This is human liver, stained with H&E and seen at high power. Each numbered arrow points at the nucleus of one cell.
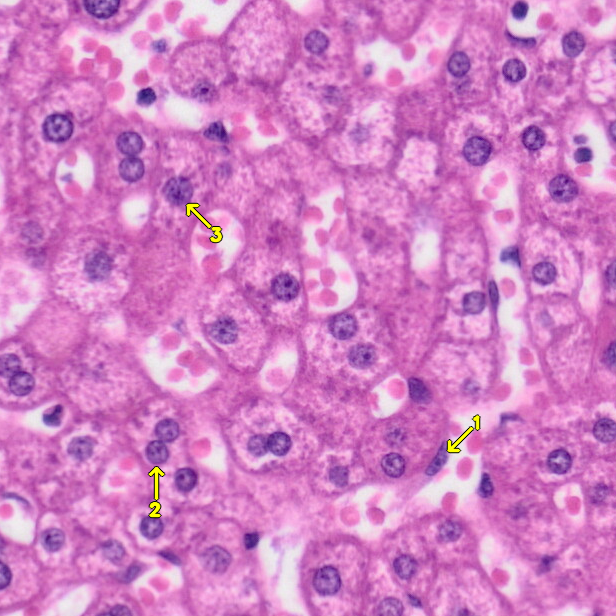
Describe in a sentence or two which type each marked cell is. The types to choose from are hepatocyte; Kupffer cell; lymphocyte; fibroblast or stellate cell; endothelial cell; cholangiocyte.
Cell 1 is a Kupffer cell, cell 2 is a hepatocyte and cell 3 is a hepatocyte.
